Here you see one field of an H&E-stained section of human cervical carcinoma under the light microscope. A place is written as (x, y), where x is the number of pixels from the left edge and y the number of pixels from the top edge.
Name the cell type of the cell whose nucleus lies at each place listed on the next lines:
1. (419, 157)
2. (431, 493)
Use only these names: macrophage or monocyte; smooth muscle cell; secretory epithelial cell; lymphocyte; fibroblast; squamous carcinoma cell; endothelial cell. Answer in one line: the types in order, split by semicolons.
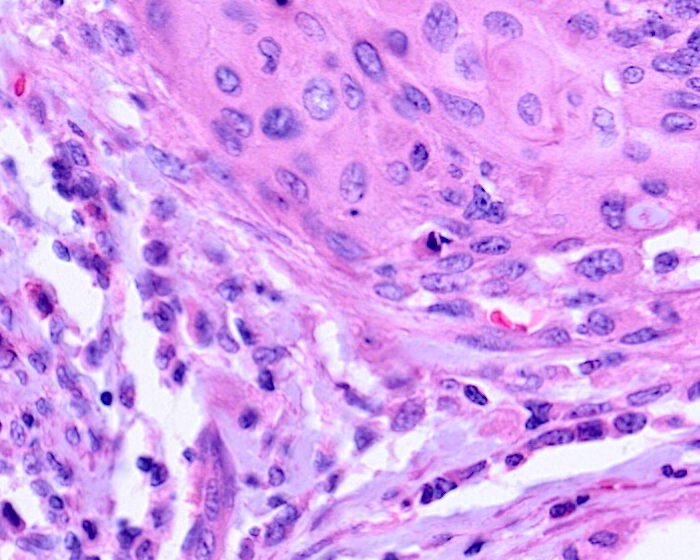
squamous carcinoma cell; lymphocyte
